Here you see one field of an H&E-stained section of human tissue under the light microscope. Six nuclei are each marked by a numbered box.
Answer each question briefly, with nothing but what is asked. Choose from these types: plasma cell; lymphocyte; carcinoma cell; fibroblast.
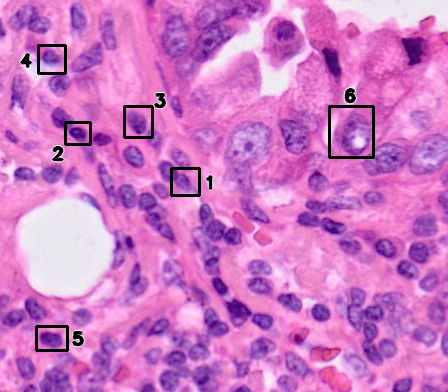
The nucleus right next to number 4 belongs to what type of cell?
lymphocyte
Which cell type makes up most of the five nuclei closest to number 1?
lymphocyte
